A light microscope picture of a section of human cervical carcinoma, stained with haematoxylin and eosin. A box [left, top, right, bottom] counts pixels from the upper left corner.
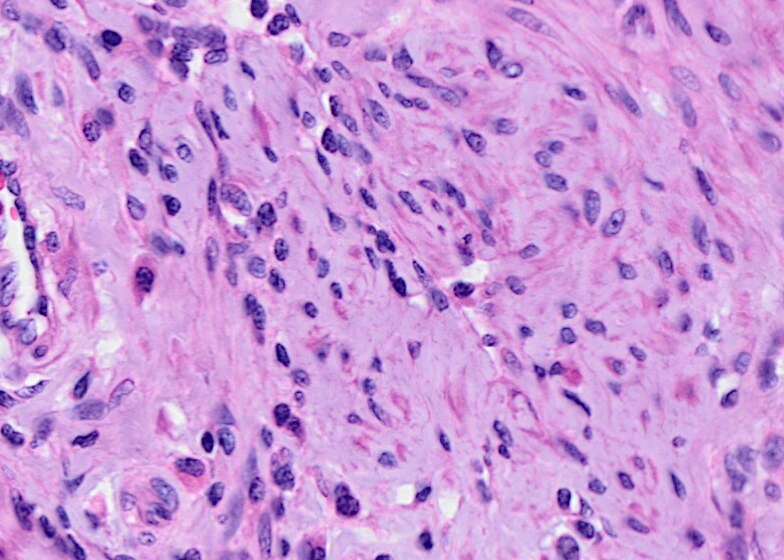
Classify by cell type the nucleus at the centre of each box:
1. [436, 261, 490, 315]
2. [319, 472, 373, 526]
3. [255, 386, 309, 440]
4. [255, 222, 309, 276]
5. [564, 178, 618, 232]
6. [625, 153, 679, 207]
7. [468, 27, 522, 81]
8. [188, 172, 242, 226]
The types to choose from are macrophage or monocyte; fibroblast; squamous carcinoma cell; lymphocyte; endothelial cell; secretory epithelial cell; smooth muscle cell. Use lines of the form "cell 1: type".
cell 1: lymphocyte
cell 2: lymphocyte
cell 3: lymphocyte
cell 4: lymphocyte
cell 5: smooth muscle cell
cell 6: smooth muscle cell
cell 7: smooth muscle cell
cell 8: endothelial cell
